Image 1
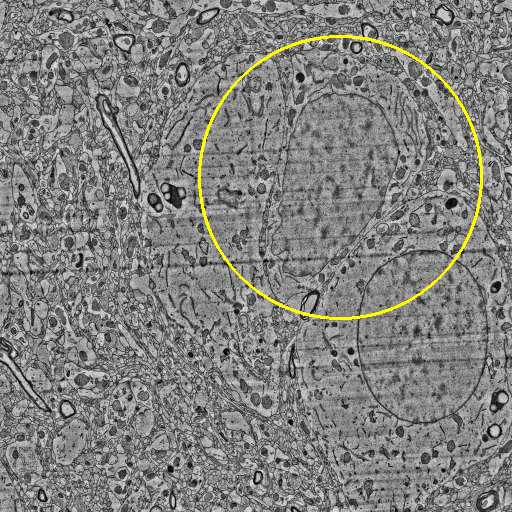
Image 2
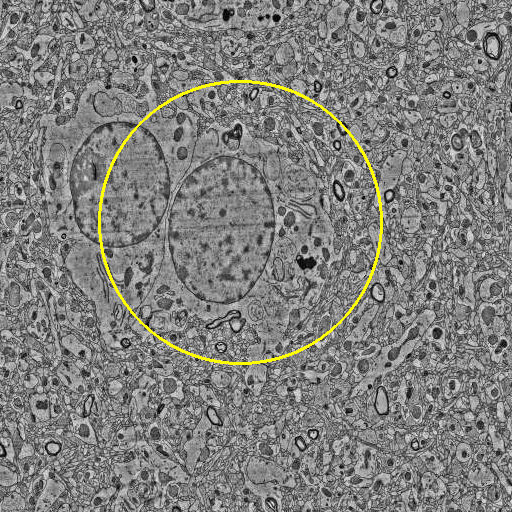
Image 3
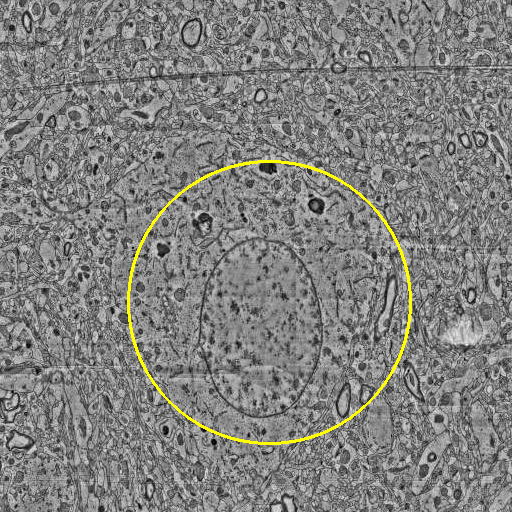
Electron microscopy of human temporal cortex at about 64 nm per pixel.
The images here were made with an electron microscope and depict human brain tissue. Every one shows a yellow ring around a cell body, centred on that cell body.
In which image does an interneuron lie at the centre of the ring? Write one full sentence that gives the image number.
My answer is image 1, where the asked-for cell sits at the centre of the ring.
